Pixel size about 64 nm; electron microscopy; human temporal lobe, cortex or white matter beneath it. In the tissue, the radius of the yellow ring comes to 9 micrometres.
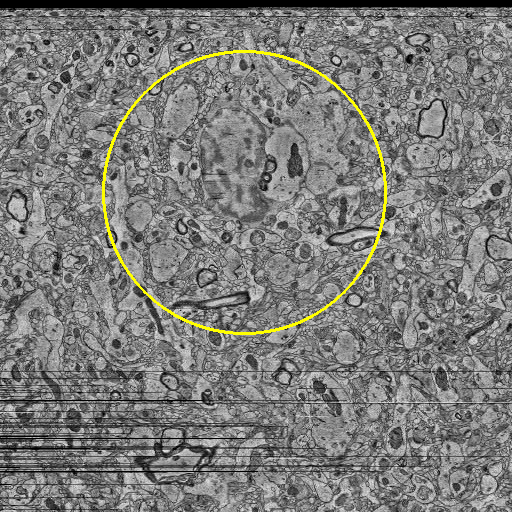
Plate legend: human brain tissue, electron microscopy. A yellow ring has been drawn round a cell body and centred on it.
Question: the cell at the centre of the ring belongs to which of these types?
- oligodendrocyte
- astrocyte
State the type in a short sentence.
The cell in the middle of the ring is an oligodendrocyte.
